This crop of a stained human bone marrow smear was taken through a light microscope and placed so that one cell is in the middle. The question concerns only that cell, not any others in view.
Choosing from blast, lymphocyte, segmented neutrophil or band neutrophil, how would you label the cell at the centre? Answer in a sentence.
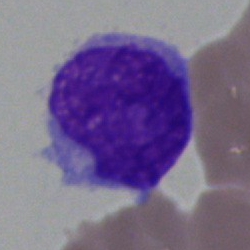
Here the centrally located cell is a blast.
